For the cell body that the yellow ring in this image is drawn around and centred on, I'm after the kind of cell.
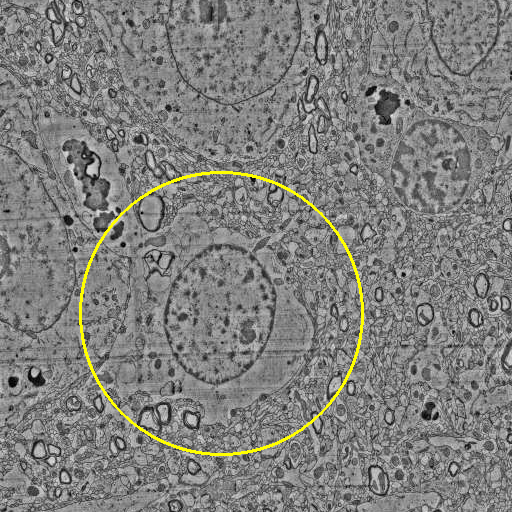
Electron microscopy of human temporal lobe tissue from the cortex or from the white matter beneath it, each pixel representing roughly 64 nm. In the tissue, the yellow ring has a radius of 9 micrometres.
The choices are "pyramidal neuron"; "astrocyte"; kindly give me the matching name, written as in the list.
astrocyte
